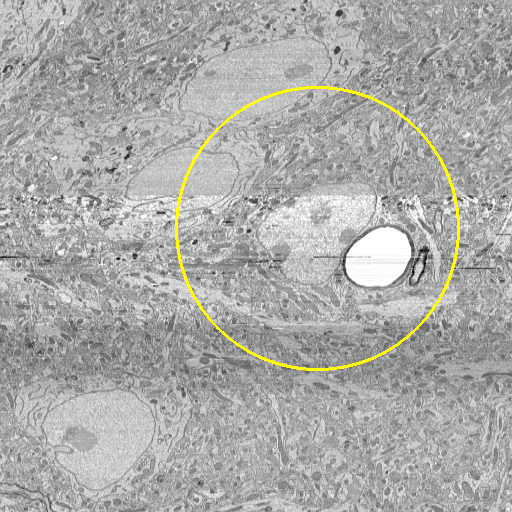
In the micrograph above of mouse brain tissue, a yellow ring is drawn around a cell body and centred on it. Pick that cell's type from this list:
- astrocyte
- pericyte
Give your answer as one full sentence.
Going by the list, an astrocyte is the cell on which the yellow ring is centred.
